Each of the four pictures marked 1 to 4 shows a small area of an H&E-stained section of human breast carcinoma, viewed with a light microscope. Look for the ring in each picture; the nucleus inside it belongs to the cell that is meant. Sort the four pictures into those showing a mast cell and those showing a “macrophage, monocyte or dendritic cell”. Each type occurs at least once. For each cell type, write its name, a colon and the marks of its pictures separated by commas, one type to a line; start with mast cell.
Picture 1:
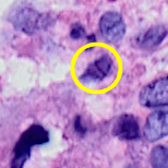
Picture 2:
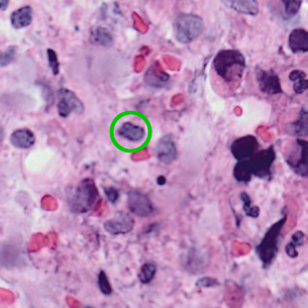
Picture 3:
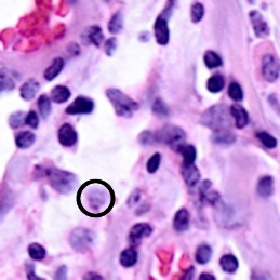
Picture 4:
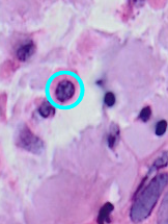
mast cell: 2, 4
macrophage, monocyte or dendritic cell: 1, 3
